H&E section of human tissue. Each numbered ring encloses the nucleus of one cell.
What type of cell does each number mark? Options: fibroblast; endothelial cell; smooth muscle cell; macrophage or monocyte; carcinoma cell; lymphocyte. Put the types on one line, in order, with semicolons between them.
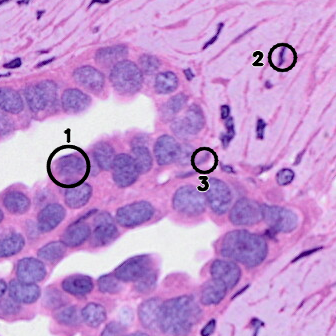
carcinoma cell; fibroblast; fibroblast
